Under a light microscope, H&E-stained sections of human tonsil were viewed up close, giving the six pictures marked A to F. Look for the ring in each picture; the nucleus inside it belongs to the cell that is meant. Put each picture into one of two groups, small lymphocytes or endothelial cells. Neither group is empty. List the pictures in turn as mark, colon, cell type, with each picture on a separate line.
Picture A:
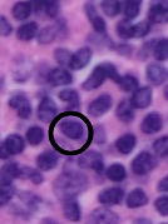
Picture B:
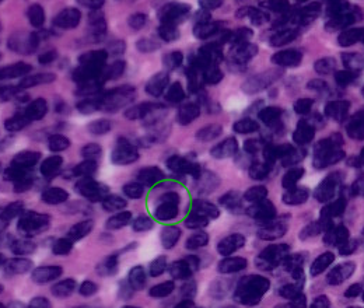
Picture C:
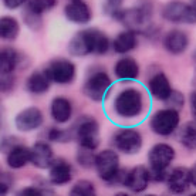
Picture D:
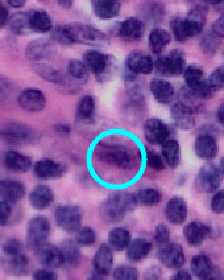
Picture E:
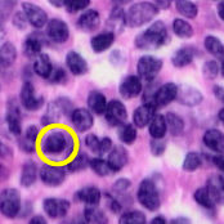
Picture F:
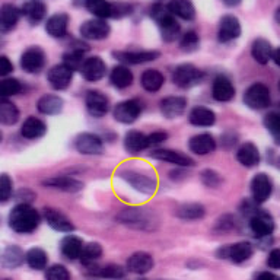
A: small lymphocyte
B: small lymphocyte
C: small lymphocyte
D: endothelial cell
E: small lymphocyte
F: endothelial cell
